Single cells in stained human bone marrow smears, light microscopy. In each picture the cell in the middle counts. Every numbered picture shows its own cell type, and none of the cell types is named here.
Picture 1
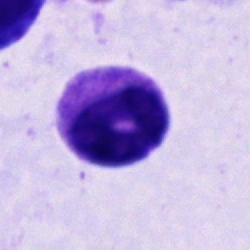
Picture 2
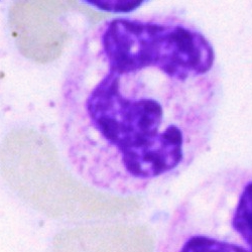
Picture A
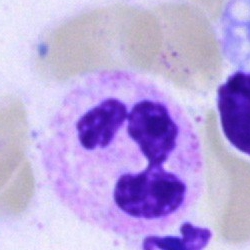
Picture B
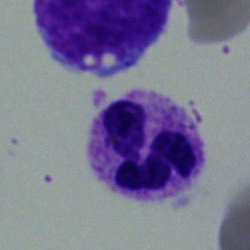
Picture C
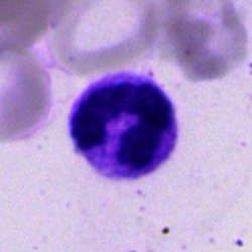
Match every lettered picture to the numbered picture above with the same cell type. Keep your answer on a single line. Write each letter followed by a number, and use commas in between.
A 2, B 2, C 2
